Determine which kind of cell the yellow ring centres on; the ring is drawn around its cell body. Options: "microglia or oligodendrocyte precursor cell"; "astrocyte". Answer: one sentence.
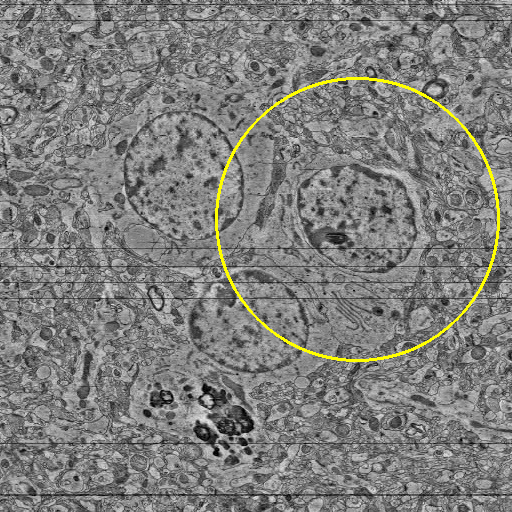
The ring centres on a microglial cell or oligodendrocyte precursor cell.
